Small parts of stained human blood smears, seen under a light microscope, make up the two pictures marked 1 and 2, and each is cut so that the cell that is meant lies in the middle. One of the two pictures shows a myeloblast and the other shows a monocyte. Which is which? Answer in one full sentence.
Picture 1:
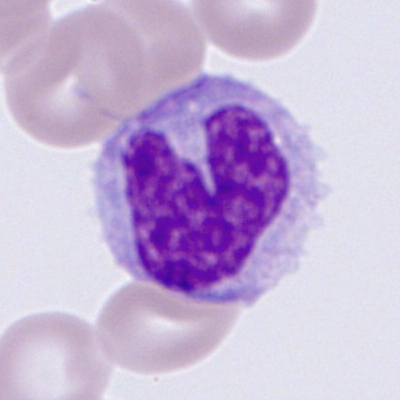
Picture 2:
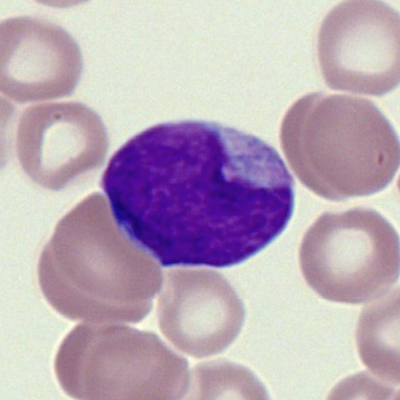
The cell in picture 1 is a monocyte, and the one in picture 2 is a myeloblast.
